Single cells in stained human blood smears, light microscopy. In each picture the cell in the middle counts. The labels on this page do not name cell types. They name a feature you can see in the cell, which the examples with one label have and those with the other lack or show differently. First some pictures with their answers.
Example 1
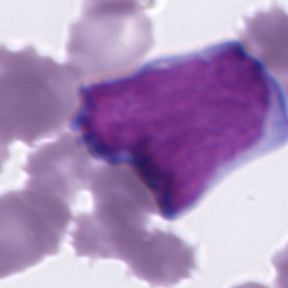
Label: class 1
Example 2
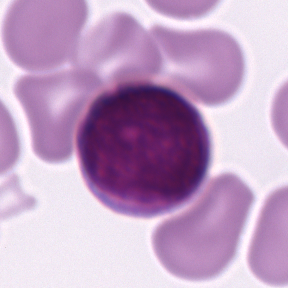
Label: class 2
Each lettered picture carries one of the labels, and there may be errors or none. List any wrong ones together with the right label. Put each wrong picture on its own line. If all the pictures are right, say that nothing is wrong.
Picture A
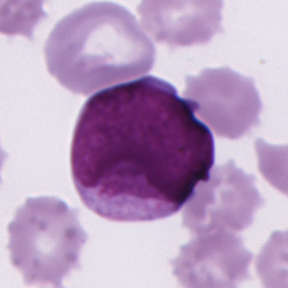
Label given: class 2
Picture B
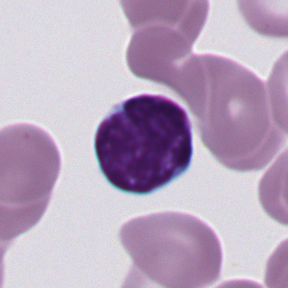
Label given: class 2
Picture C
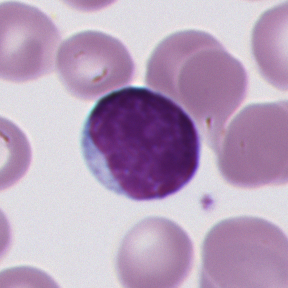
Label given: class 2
A: class 1, not class 2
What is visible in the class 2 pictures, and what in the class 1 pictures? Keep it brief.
class 2: smooth outline; class 1: ragged outline or projections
